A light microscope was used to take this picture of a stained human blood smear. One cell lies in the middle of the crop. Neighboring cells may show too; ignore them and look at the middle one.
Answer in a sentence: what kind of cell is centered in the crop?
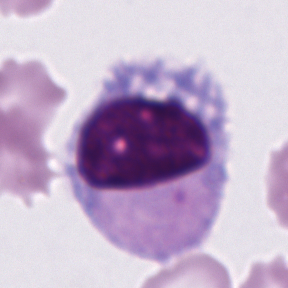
In the middle of this smear crop is a hairy cell.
